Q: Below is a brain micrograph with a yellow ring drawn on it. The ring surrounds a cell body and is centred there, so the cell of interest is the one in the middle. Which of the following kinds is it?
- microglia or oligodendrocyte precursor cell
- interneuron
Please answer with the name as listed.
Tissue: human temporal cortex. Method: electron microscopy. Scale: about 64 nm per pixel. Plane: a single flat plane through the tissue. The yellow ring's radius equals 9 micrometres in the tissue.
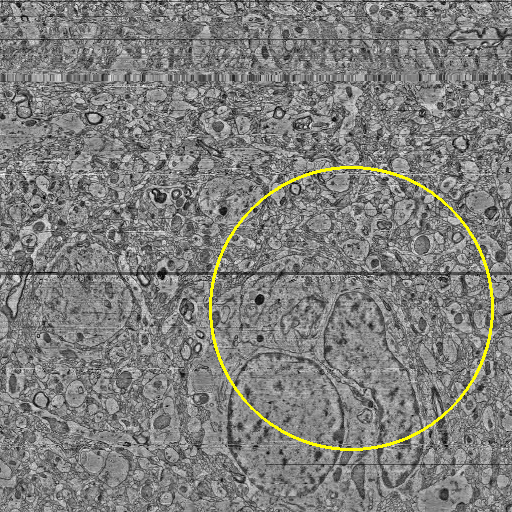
microglia or oligodendrocyte precursor cell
